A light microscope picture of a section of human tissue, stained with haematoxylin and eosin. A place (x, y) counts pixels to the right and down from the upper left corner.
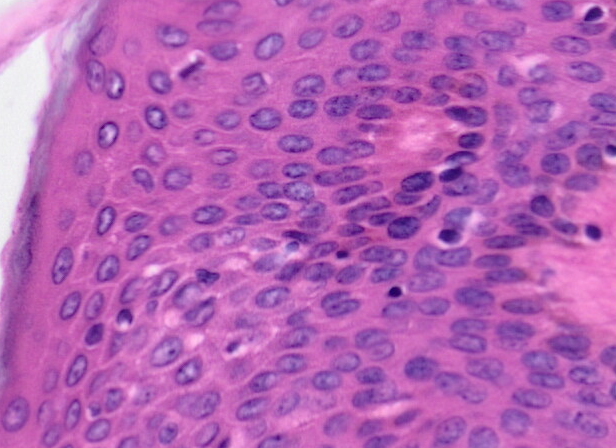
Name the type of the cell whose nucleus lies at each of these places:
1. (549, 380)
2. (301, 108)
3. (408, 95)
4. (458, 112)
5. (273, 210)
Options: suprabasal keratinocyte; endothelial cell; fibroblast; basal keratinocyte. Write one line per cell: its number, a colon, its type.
1: suprabasal keratinocyte
2: suprabasal keratinocyte
3: basal keratinocyte
4: basal keratinocyte
5: suprabasal keratinocyte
